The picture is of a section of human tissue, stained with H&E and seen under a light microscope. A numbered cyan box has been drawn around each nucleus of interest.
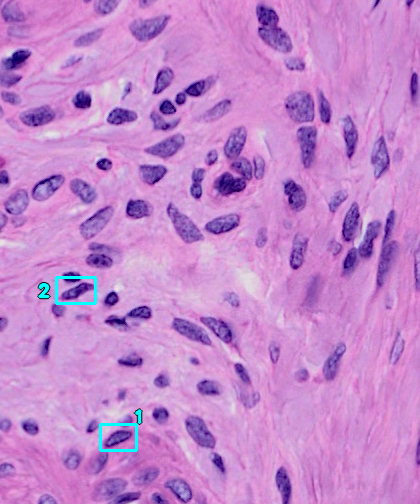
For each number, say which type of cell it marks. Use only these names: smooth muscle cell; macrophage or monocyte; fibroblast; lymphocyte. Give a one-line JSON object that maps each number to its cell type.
{"1": "smooth muscle cell", "2": "fibroblast"}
